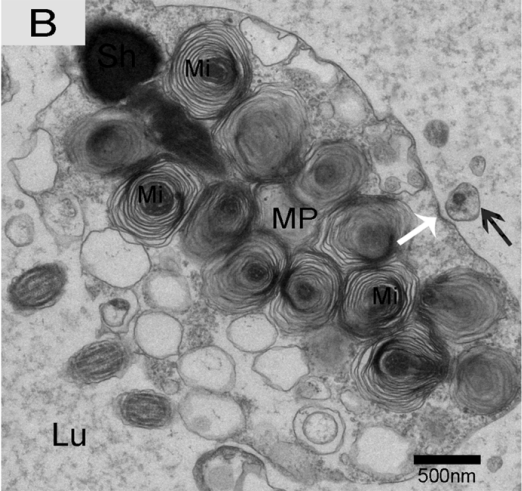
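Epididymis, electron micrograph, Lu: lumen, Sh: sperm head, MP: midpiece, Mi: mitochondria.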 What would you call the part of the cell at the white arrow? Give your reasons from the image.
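Cytoplasmic membrane. The arrow points at the thin outer membrane bounding the sperm section. The membrane is slightly indented where a small vesicle lies against it.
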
